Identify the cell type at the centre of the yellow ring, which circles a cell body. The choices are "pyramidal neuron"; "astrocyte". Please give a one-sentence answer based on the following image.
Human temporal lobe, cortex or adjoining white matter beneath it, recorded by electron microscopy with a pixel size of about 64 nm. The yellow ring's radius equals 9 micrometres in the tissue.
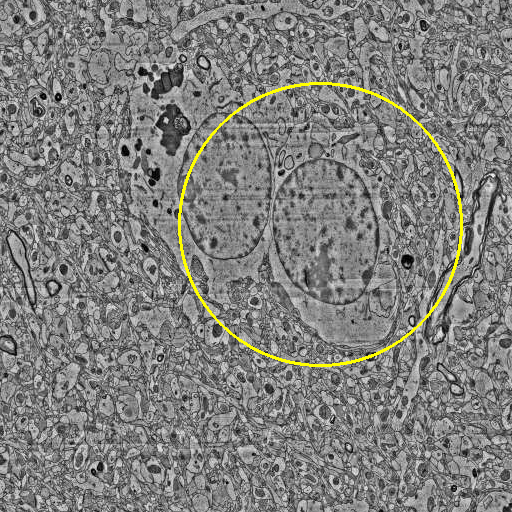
The cell marked by the ring is an astrocyte.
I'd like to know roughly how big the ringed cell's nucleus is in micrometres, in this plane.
The nucleus measures about 9 by 7 micrometres in this plane.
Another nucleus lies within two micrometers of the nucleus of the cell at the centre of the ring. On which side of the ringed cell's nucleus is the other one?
That second nucleus is to the upper left of it.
